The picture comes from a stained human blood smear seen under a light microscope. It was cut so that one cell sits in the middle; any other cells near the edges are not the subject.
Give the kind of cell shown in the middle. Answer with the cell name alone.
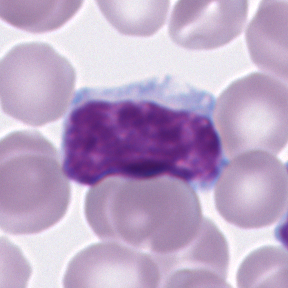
lymphocyte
